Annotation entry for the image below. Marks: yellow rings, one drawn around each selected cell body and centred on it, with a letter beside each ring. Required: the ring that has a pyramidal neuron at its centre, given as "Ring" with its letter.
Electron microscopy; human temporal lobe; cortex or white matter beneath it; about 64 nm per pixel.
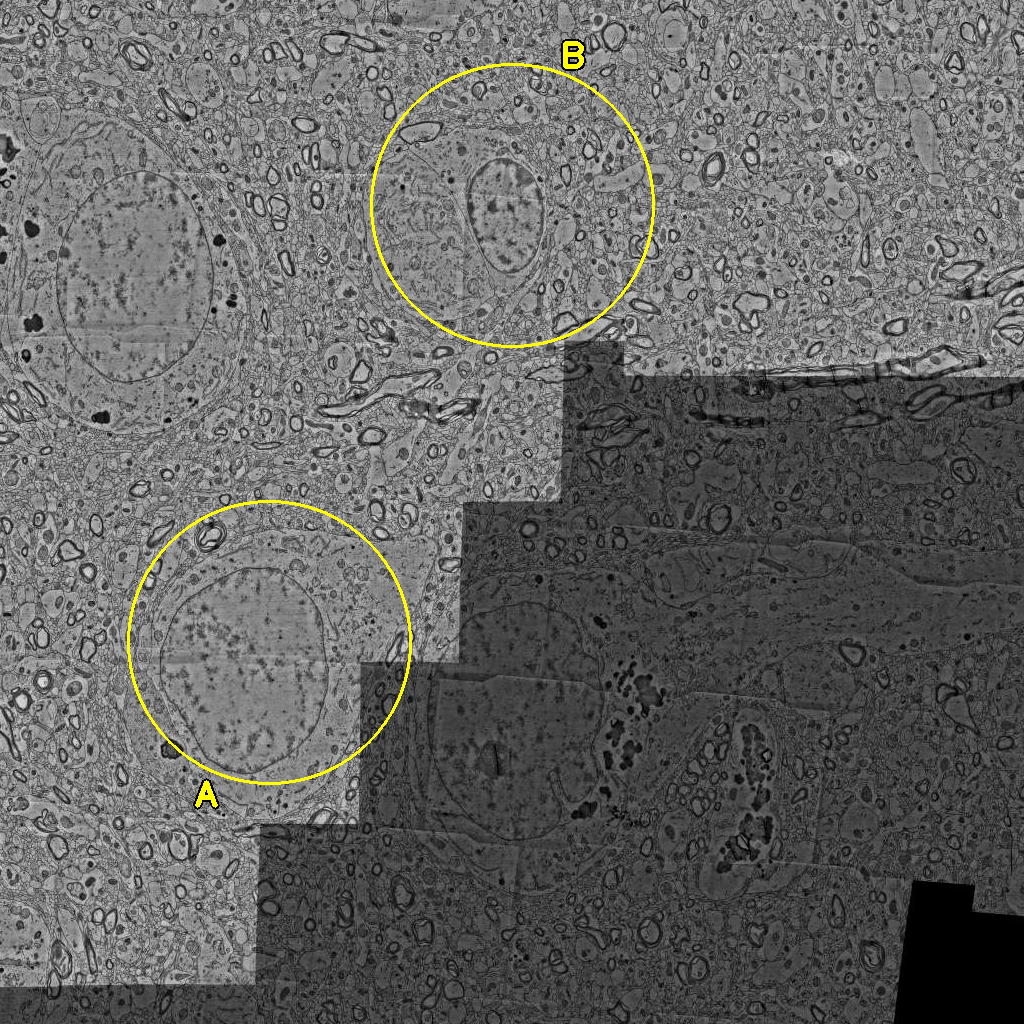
Ring A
